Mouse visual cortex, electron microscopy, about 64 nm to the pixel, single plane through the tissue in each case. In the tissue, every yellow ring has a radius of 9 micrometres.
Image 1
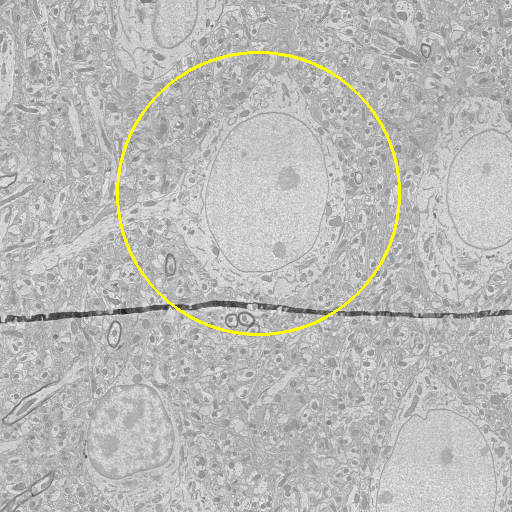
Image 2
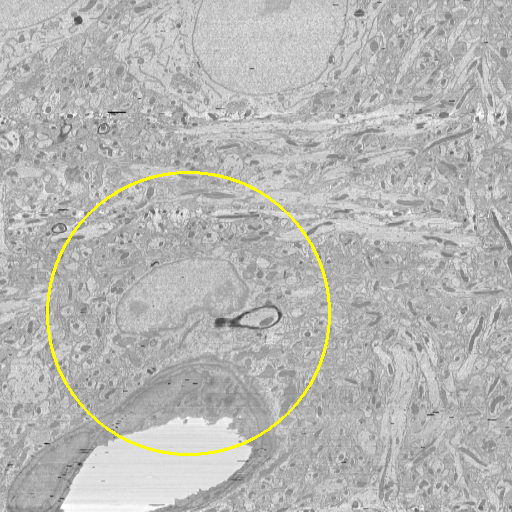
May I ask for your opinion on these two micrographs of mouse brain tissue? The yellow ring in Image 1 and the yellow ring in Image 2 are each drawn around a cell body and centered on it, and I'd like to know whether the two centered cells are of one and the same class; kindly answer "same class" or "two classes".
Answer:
two classes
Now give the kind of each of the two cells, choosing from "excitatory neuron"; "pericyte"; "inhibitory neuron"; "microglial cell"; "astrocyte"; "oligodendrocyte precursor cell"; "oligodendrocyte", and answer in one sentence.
The cell in the first picture is an excitatory neuron, and the cell in the second is an astrocyte.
